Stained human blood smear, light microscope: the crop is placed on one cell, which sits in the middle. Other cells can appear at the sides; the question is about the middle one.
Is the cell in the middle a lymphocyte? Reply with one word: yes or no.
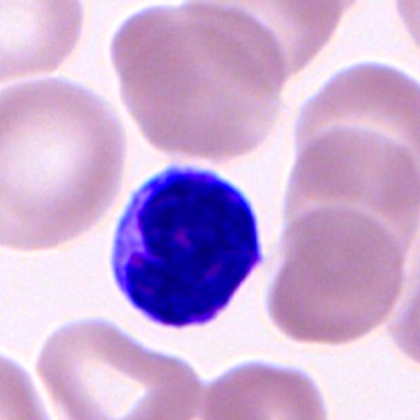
yes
